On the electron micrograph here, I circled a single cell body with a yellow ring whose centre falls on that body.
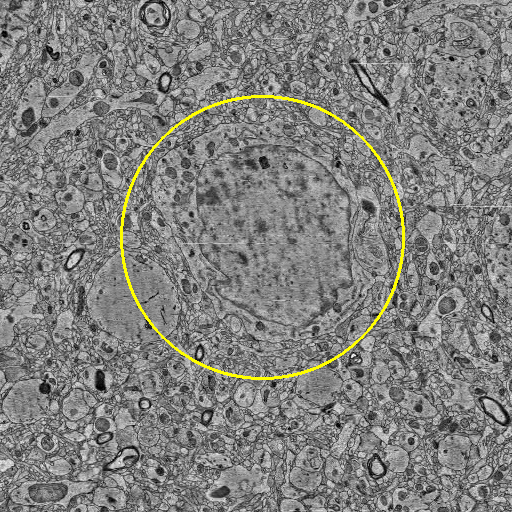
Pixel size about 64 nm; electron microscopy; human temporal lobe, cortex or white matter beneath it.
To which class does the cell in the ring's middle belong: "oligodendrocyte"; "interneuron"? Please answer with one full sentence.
In this picture, the cell body circled at the ring's centre belongs to an interneuron.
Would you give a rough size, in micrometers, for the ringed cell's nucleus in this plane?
The nucleus of the ringed cell is approximately 13 by 10 micrometres in this plane.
